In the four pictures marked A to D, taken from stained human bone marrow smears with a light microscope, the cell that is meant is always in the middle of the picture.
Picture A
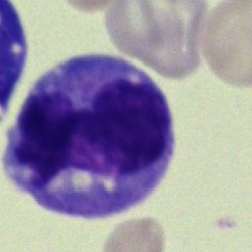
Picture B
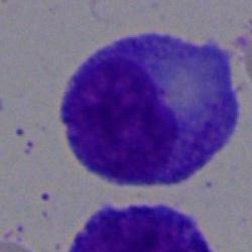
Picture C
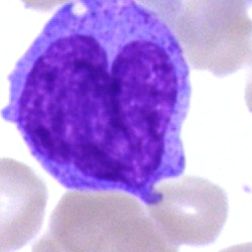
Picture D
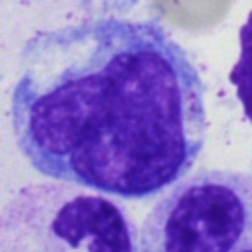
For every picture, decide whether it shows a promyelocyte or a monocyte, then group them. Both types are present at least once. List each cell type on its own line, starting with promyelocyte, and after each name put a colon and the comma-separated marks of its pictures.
promyelocyte: B
monocyte: A, C, D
